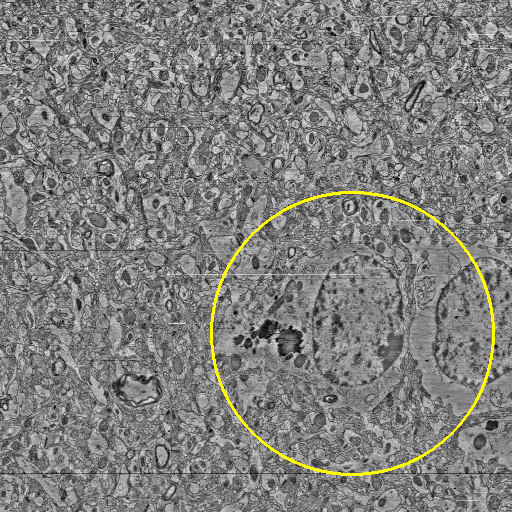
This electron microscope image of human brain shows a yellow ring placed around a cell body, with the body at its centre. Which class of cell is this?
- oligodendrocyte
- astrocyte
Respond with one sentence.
The cell body at the ring's centre is an astrocyte.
